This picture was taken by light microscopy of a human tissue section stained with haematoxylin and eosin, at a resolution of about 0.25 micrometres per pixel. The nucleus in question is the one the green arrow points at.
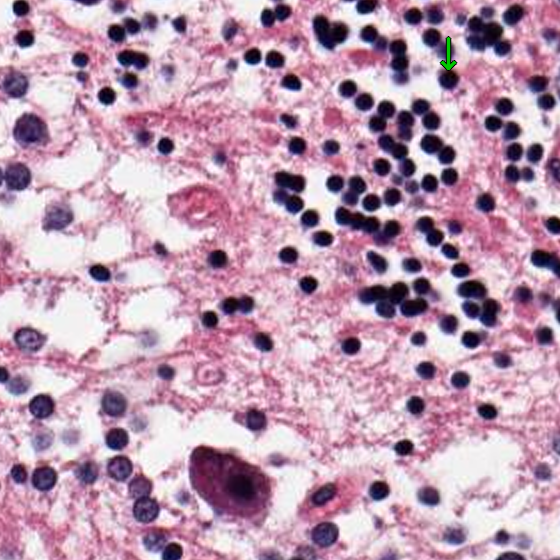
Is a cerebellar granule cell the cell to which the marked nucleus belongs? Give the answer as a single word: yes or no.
yes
